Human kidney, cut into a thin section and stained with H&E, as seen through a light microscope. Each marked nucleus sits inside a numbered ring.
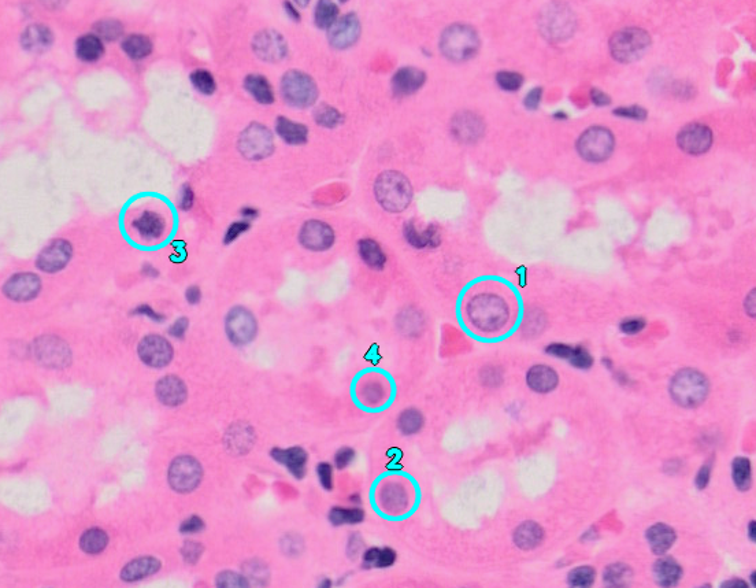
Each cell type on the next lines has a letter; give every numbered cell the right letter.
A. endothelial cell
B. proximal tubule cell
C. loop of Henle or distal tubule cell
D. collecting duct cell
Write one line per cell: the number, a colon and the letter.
1: B
2: B
3: C
4: B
